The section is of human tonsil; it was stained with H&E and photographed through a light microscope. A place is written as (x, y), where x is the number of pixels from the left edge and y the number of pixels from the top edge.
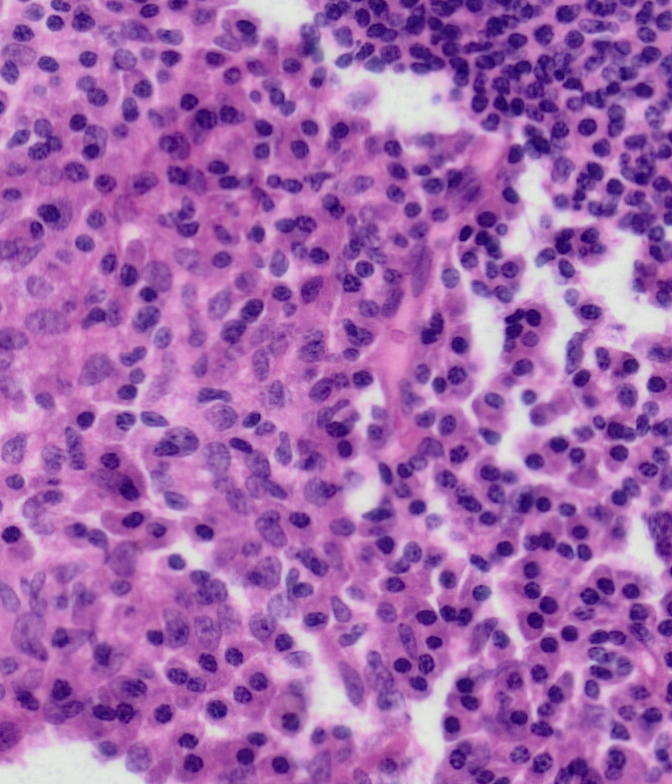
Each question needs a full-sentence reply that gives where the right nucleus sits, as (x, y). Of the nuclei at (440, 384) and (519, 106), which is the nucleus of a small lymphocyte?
The nucleus whose cell is a small lymphocyte is the one at (519, 106).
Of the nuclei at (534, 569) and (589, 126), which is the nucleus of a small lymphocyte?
The correct choice is the nucleus at (589, 126), which belongs to a small lymphocyte.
